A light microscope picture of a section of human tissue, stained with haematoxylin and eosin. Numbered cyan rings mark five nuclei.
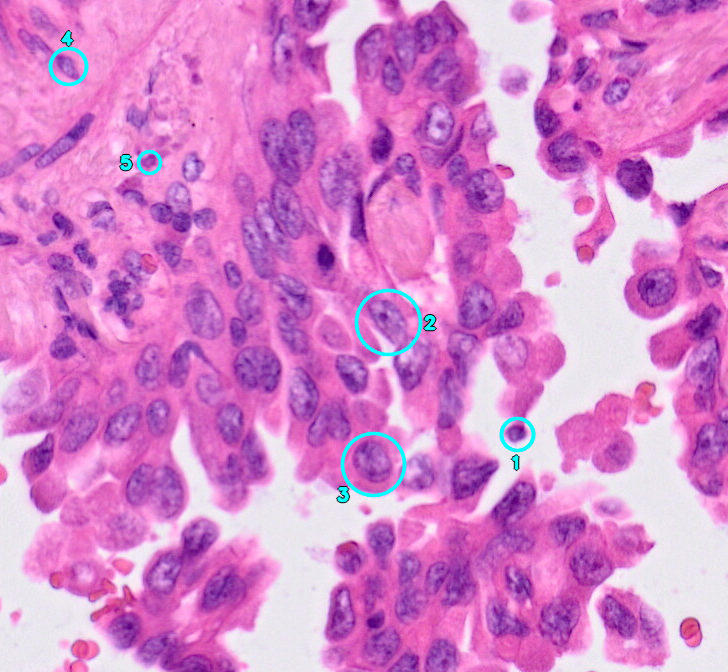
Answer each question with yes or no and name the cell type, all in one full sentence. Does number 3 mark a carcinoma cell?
Yes. The cell carrying number 3 is a carcinoma cell.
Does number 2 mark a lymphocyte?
No, the cell numbered 2 is a carcinoma cell rather than a lymphocyte.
